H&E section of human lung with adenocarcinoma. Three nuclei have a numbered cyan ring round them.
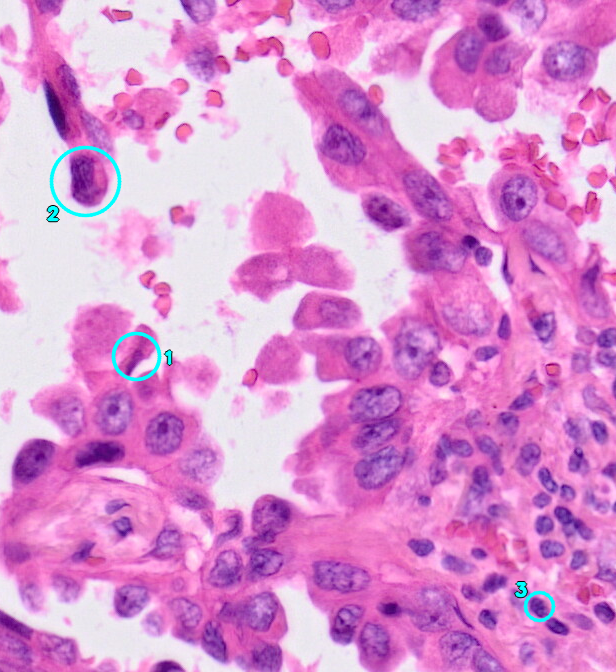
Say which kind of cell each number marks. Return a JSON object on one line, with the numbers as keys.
{"1": "carcinoma cell", "2": "carcinoma cell", "3": "lymphocyte"}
